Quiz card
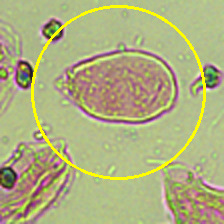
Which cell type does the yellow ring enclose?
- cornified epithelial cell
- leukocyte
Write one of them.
cornified epithelial cell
